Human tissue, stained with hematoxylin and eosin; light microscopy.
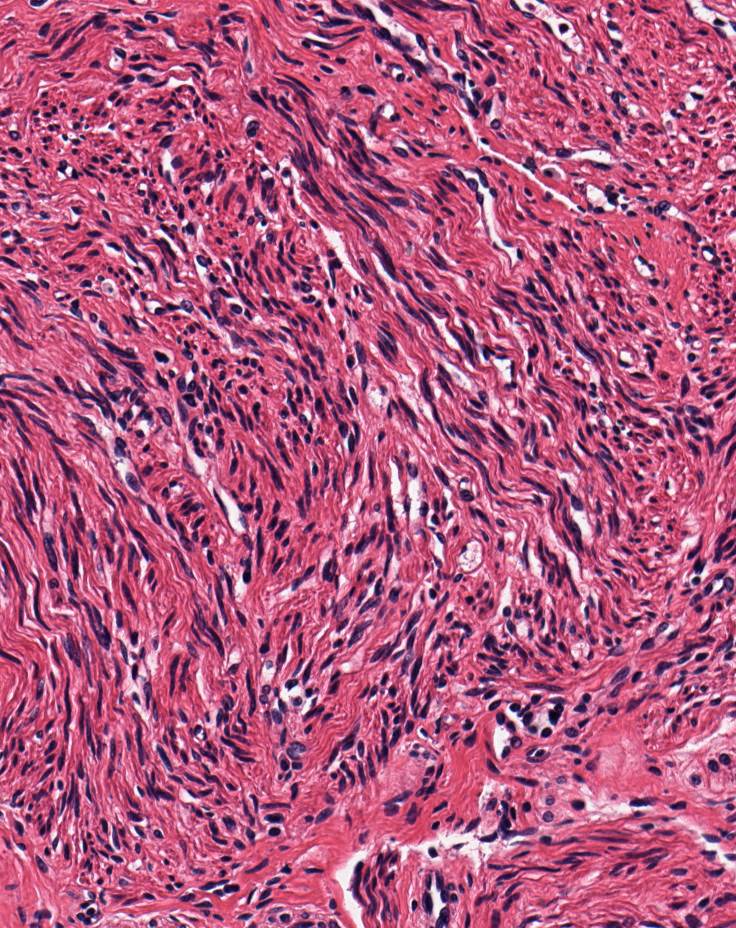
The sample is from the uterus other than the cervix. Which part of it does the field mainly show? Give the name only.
smooth muscle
